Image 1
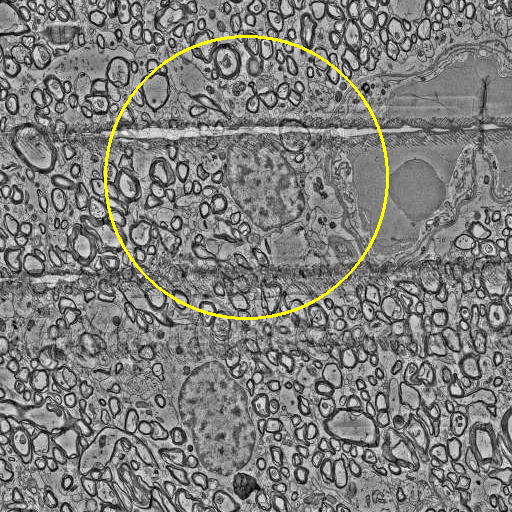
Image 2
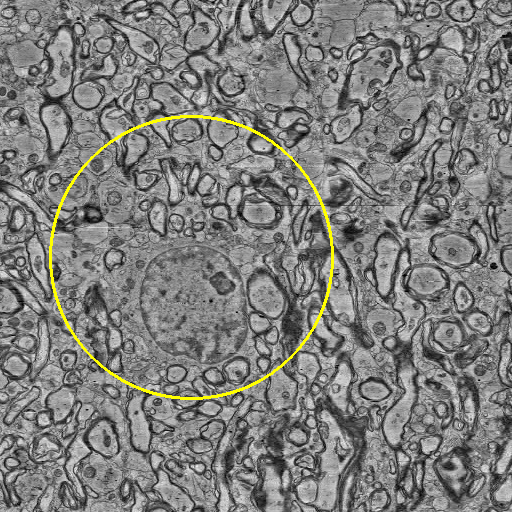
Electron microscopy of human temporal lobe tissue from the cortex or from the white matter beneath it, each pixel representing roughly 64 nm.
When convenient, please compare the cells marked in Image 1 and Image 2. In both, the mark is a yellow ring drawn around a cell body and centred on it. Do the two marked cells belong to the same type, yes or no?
yes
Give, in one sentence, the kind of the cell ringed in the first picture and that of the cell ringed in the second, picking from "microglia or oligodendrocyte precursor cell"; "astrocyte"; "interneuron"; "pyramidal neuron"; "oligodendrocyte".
In each picture the ringed cell is an oligodendrocyte.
